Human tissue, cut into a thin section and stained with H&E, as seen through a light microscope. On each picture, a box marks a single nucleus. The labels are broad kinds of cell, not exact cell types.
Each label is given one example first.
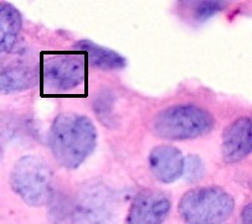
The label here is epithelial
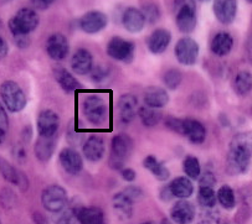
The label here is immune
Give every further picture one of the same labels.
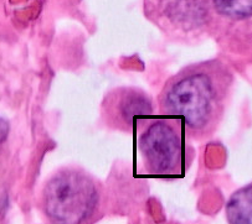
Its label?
epithelial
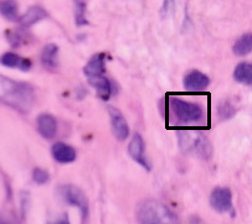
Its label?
immune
